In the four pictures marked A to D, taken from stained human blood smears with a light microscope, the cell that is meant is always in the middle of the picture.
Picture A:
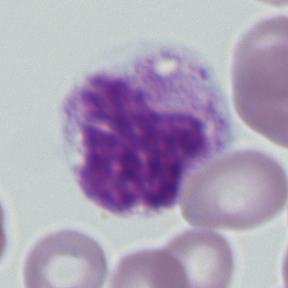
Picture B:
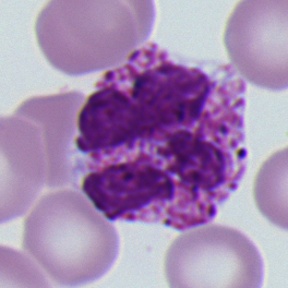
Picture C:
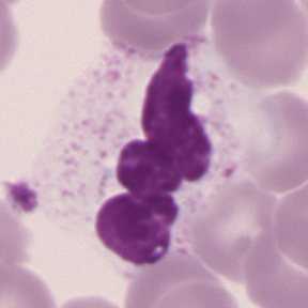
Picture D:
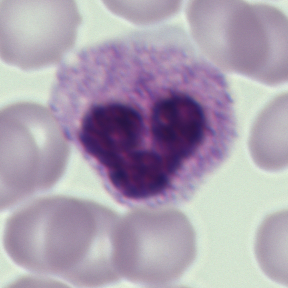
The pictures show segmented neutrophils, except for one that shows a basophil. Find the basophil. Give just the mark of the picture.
B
